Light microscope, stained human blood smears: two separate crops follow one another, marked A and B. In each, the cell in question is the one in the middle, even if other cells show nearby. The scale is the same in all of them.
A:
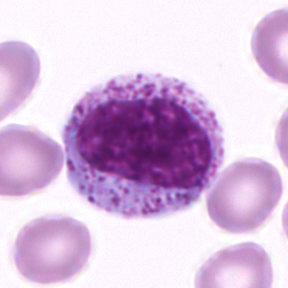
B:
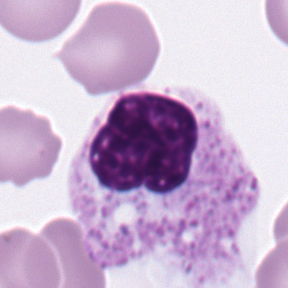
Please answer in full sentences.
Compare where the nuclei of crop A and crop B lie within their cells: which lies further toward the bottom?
It is the nucleus in crop A that lies further toward the bottom of its cell.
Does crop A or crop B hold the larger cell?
The cell in crop B is larger, with about 1.5 times the area of the one in crop A.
